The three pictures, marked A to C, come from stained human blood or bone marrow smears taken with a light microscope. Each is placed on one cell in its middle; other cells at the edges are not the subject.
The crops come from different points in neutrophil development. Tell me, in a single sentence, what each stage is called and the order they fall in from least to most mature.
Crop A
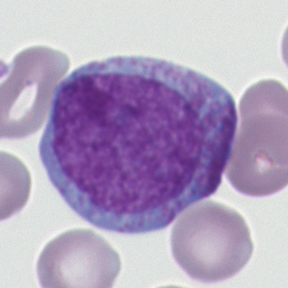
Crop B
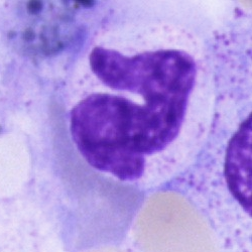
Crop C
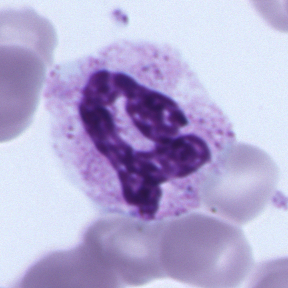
Arranging the cells from least to most mature gives crop A (a promyelocyte), crop B (a band neutrophil) and crop C (a segmented neutrophil).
